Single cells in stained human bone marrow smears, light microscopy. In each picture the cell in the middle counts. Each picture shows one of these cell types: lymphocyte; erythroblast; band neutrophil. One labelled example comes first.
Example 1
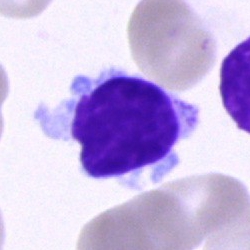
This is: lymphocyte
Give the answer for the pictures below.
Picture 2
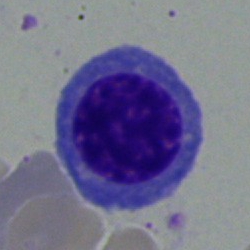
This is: erythroblast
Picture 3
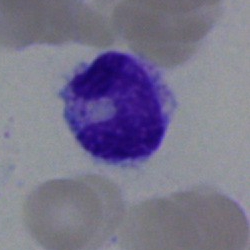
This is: band neutrophil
